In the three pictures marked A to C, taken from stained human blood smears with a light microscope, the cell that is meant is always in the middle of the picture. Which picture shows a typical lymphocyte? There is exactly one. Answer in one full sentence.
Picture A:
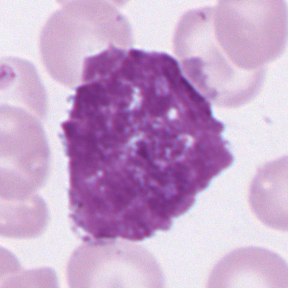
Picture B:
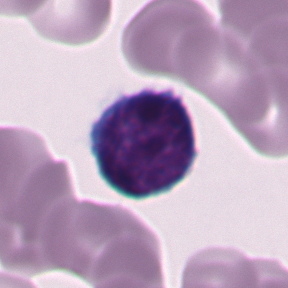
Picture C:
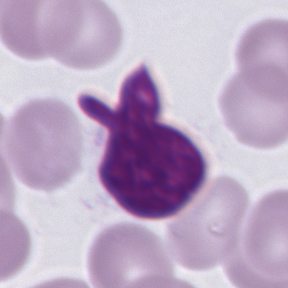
It is picture B that shows the typical lymphocyte.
